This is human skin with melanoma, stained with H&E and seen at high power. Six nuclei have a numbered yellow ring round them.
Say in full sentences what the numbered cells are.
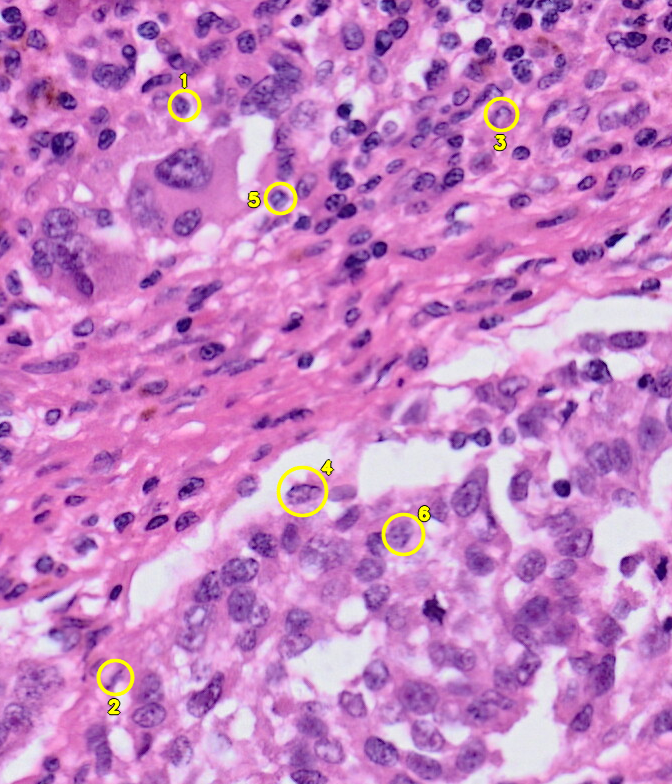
Cell 1 is a lymphocyte, cell 2 is a fibroblast or myofibroblast, cell 3 is an endothelial cell, cell 4 is a macrophage or monocyte, cell 5 is a lymphocyte and cell 6 is a melanoma cell.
